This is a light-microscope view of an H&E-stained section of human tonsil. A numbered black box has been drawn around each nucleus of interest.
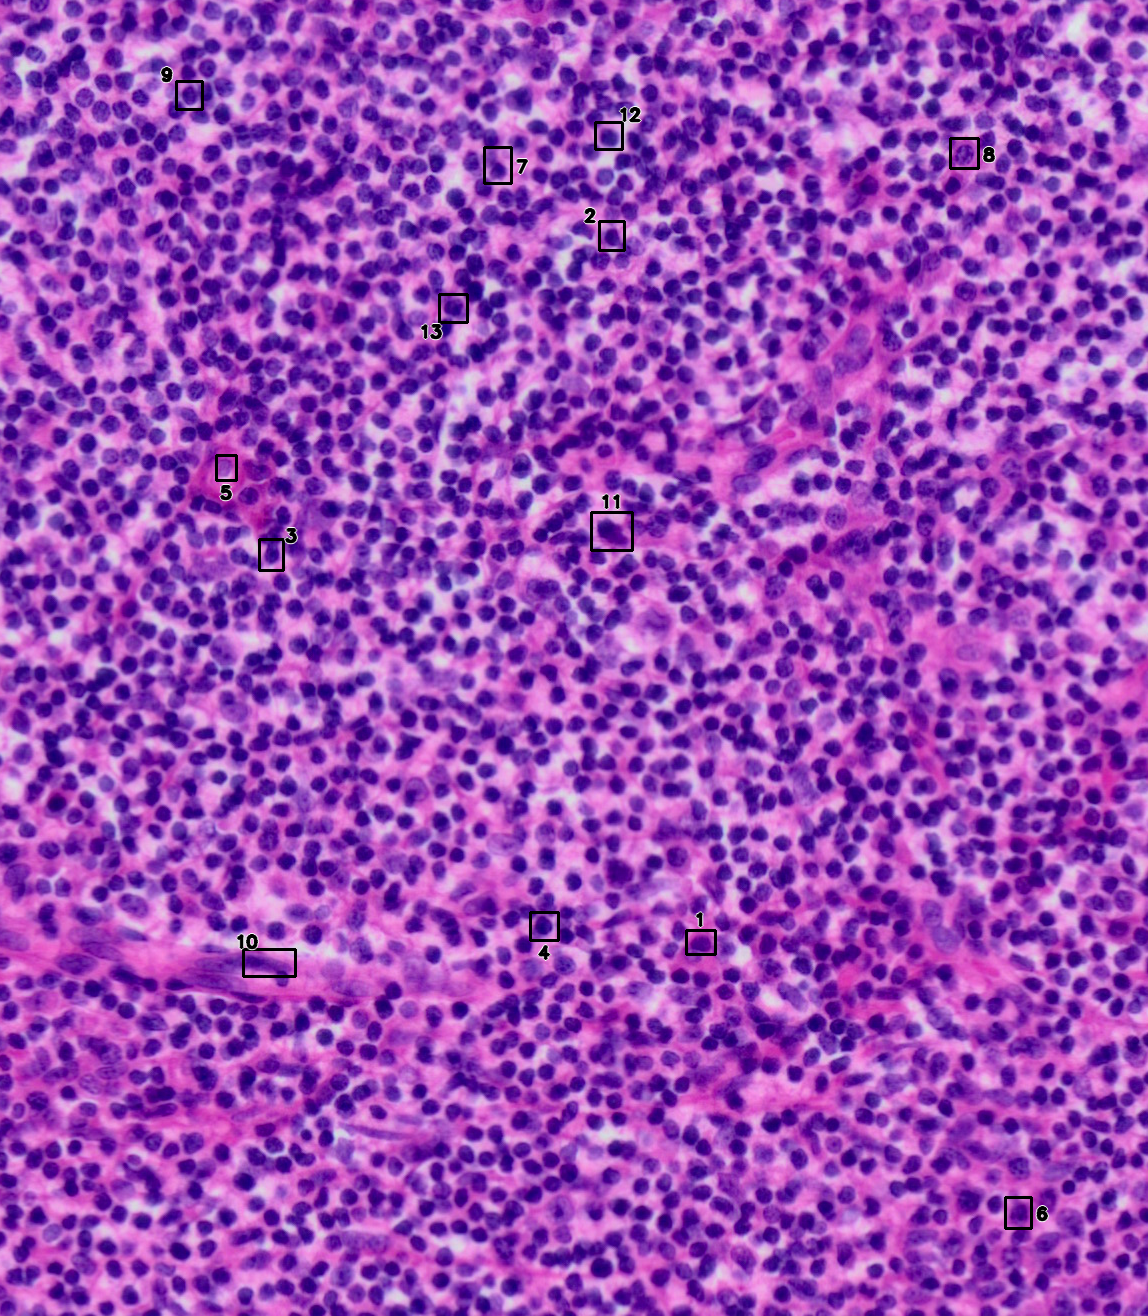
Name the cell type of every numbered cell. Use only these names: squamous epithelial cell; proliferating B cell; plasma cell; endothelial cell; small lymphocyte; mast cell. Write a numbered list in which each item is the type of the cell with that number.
1. endothelial cell
2. small lymphocyte
3. small lymphocyte
4. small lymphocyte
5. endothelial cell
6. plasma cell
7. small lymphocyte
8. plasma cell
9. small lymphocyte
10. endothelial cell
11. proliferating B cell
12. small lymphocyte
13. small lymphocyte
